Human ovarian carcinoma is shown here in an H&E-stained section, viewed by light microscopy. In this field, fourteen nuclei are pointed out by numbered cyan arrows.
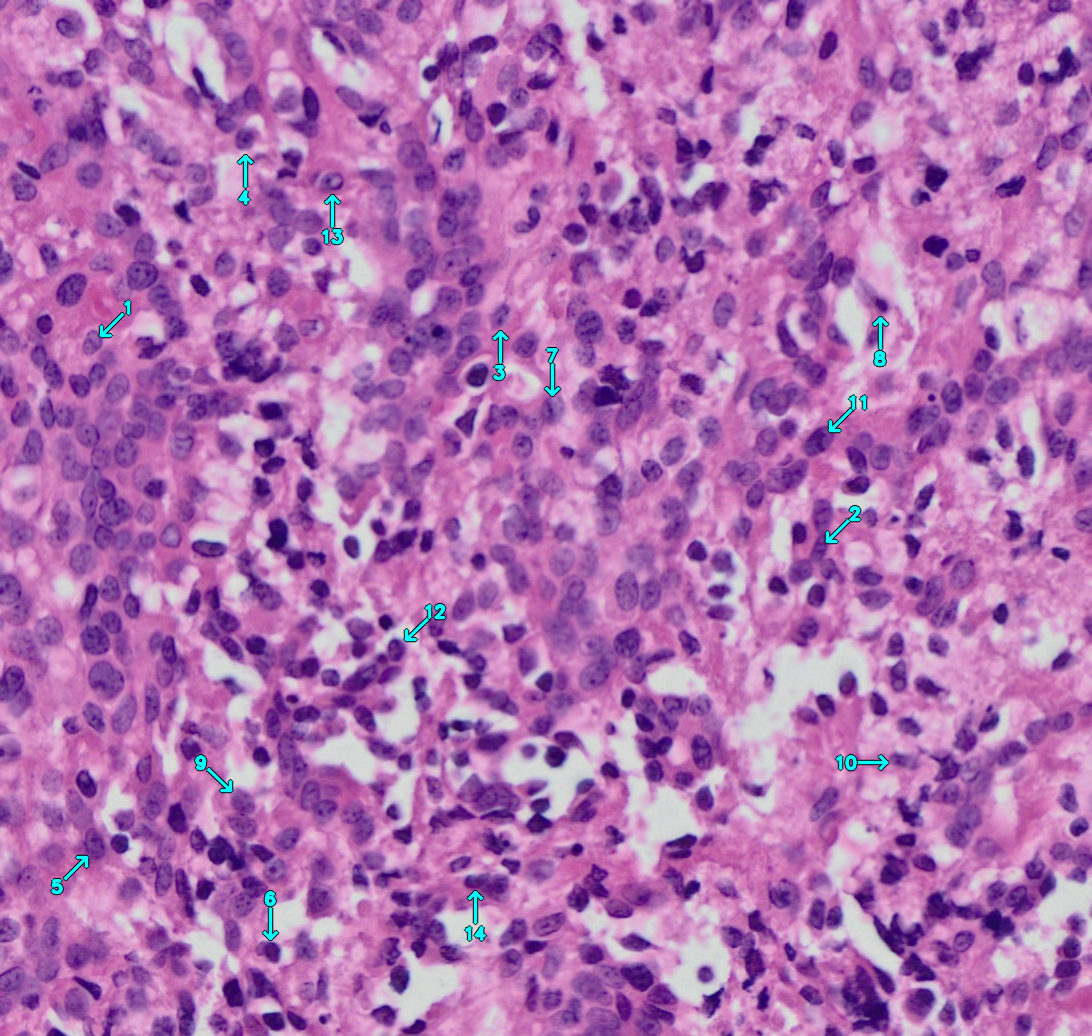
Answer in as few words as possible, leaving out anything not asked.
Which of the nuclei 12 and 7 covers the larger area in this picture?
7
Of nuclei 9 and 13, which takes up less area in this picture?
13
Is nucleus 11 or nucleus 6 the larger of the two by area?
11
